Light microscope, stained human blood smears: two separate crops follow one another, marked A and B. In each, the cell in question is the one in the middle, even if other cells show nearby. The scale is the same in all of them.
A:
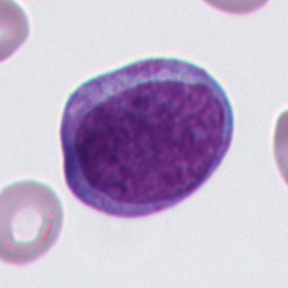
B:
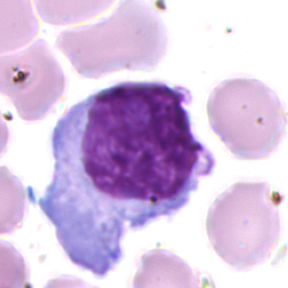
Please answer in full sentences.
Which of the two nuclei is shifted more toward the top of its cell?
In crop B the nucleus is shifted more toward the top.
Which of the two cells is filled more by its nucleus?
It is the cell in crop A that is filled more by its nucleus.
